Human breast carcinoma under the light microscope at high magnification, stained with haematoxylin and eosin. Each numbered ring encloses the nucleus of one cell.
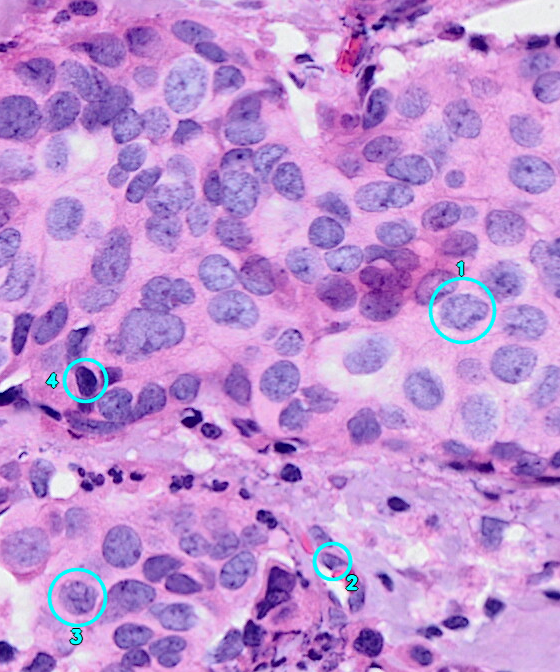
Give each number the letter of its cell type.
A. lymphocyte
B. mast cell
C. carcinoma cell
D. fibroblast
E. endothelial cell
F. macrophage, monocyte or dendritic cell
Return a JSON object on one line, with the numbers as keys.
{"1": "C", "2": "E", "3": "C", "4": "C"}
